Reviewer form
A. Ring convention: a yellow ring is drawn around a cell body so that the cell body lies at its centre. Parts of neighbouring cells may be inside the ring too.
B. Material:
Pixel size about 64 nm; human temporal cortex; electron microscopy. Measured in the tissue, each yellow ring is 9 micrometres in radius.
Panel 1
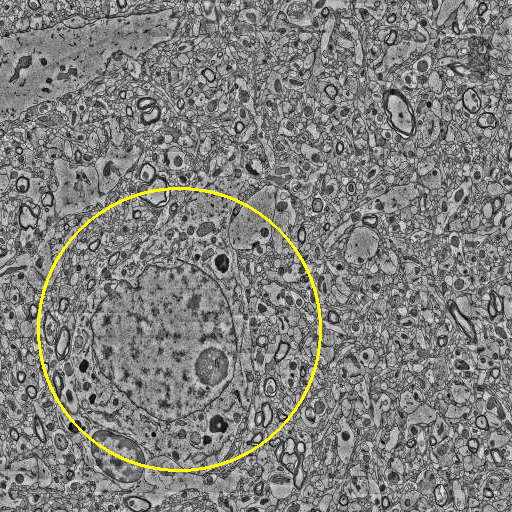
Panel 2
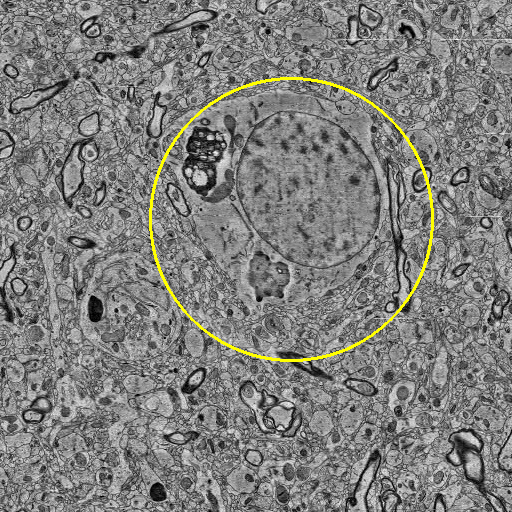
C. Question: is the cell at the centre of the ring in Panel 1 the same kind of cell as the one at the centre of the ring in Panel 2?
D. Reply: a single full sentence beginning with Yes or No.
No, the cells in Panel 1 and Panel 2 are two kinds of cell.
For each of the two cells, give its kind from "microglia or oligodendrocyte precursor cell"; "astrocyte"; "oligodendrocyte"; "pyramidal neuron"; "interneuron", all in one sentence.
The first picture has a pyramidal neuron in its ring, the second has an astrocyte.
